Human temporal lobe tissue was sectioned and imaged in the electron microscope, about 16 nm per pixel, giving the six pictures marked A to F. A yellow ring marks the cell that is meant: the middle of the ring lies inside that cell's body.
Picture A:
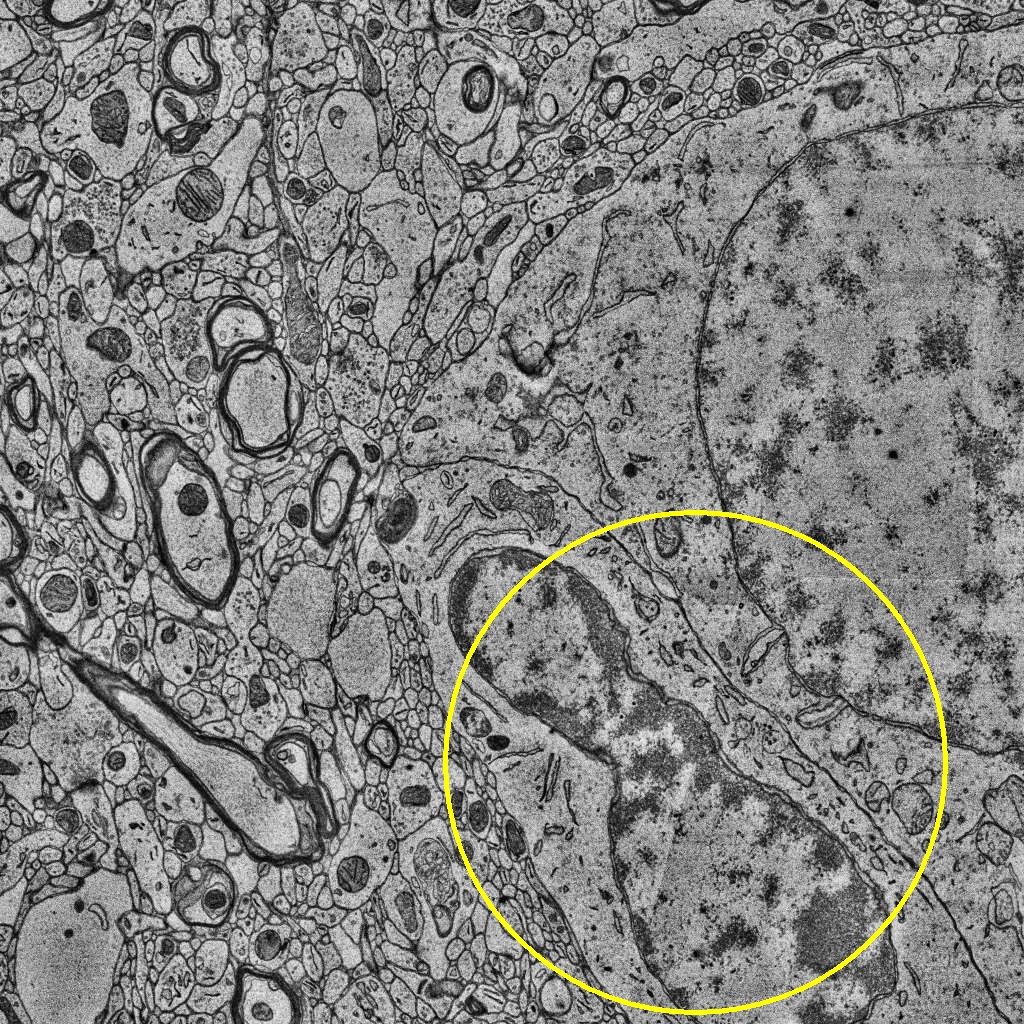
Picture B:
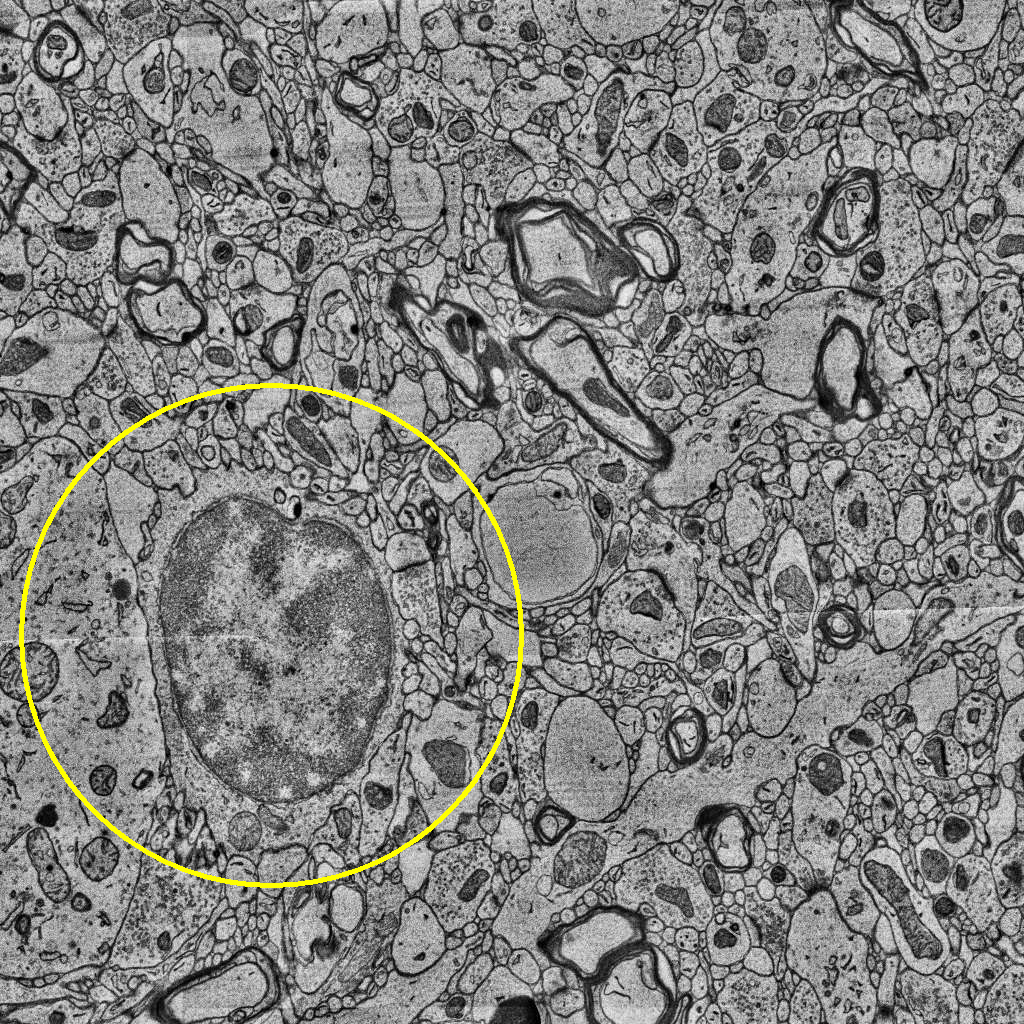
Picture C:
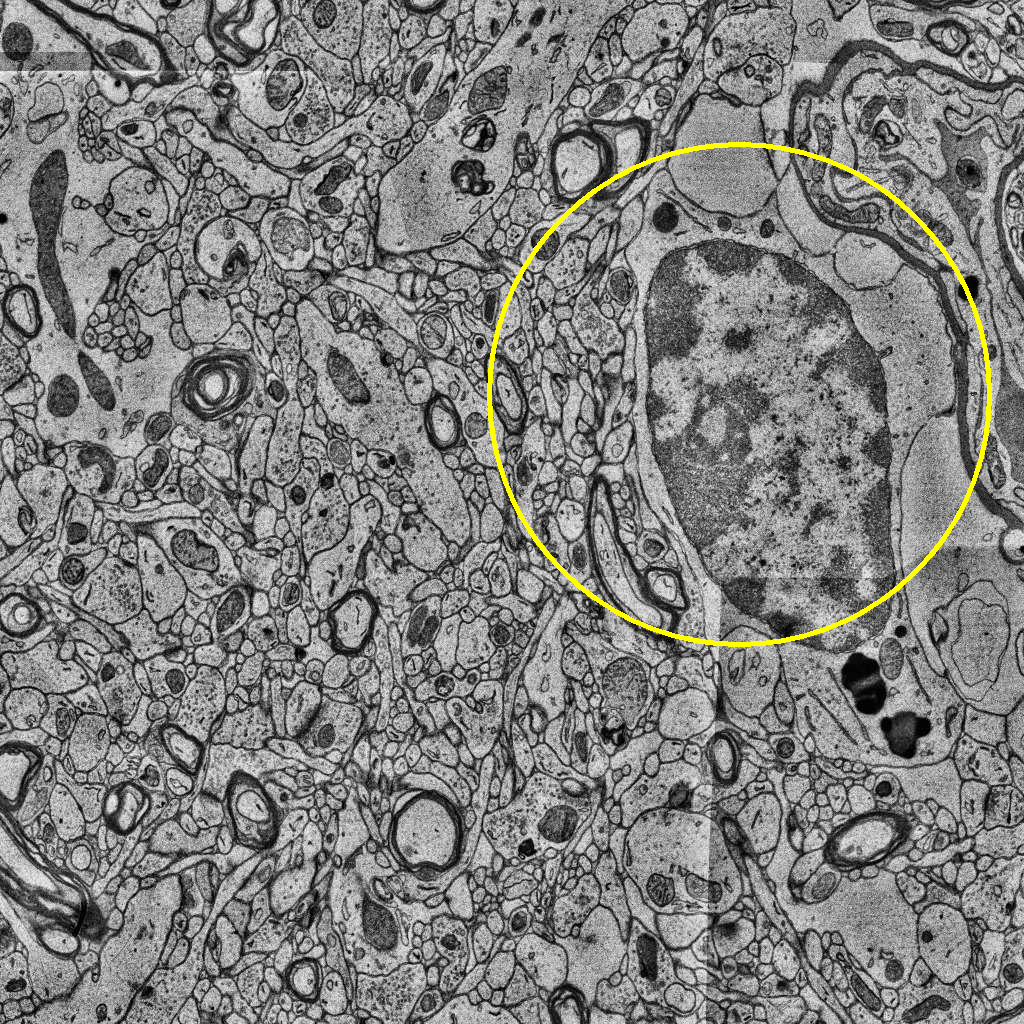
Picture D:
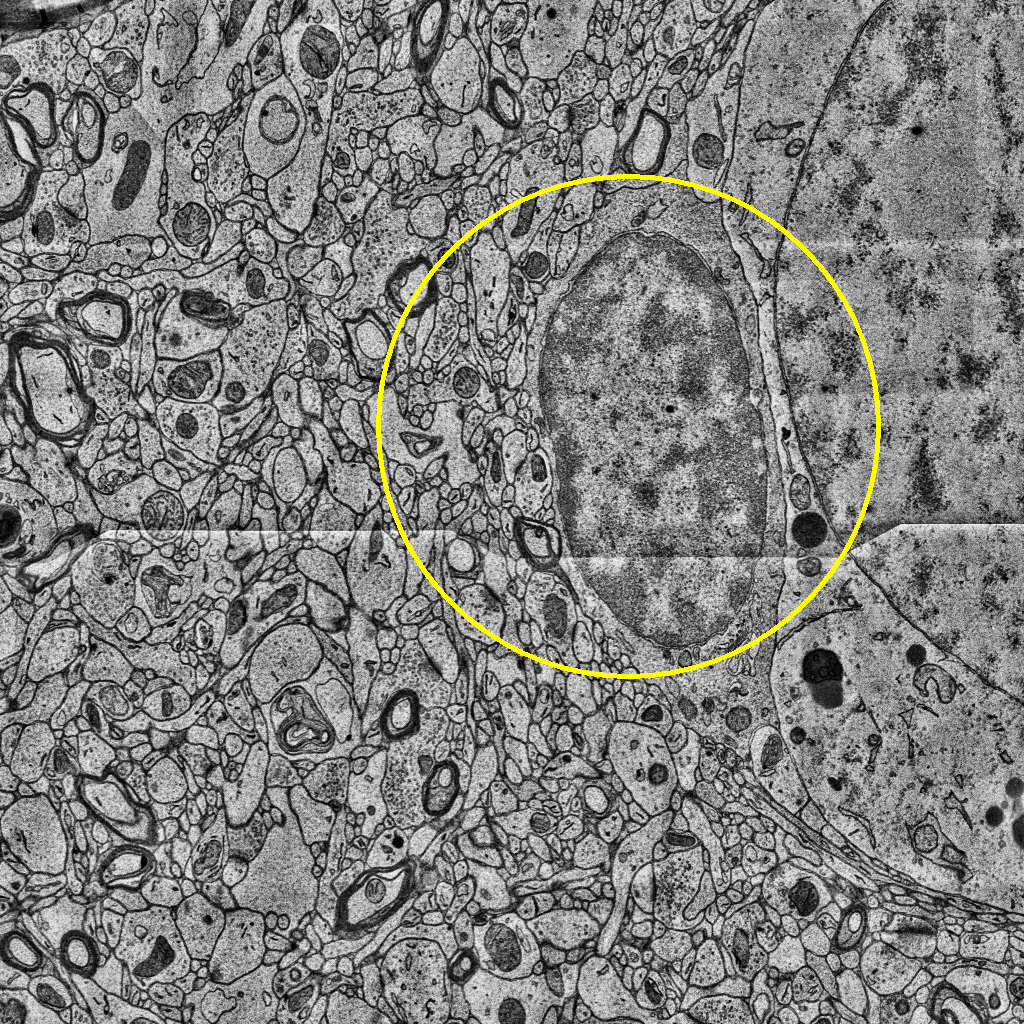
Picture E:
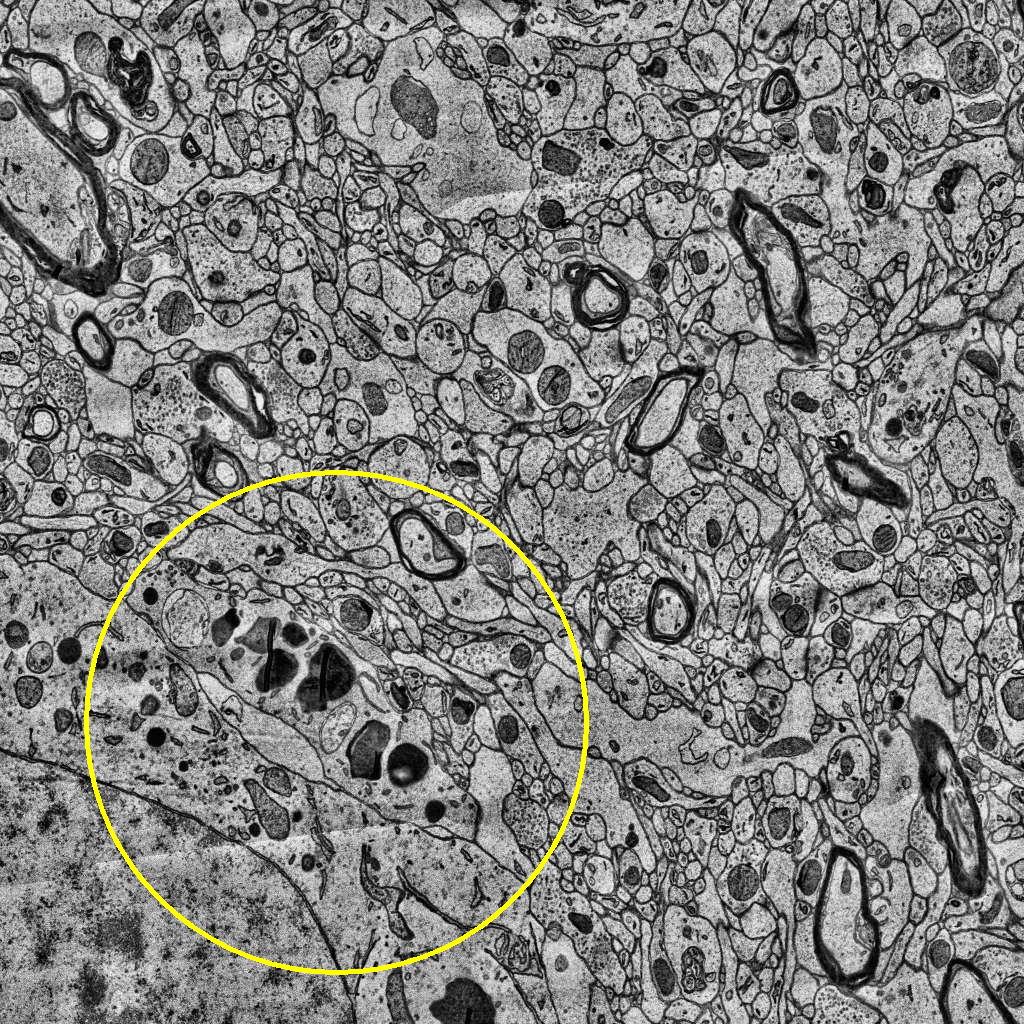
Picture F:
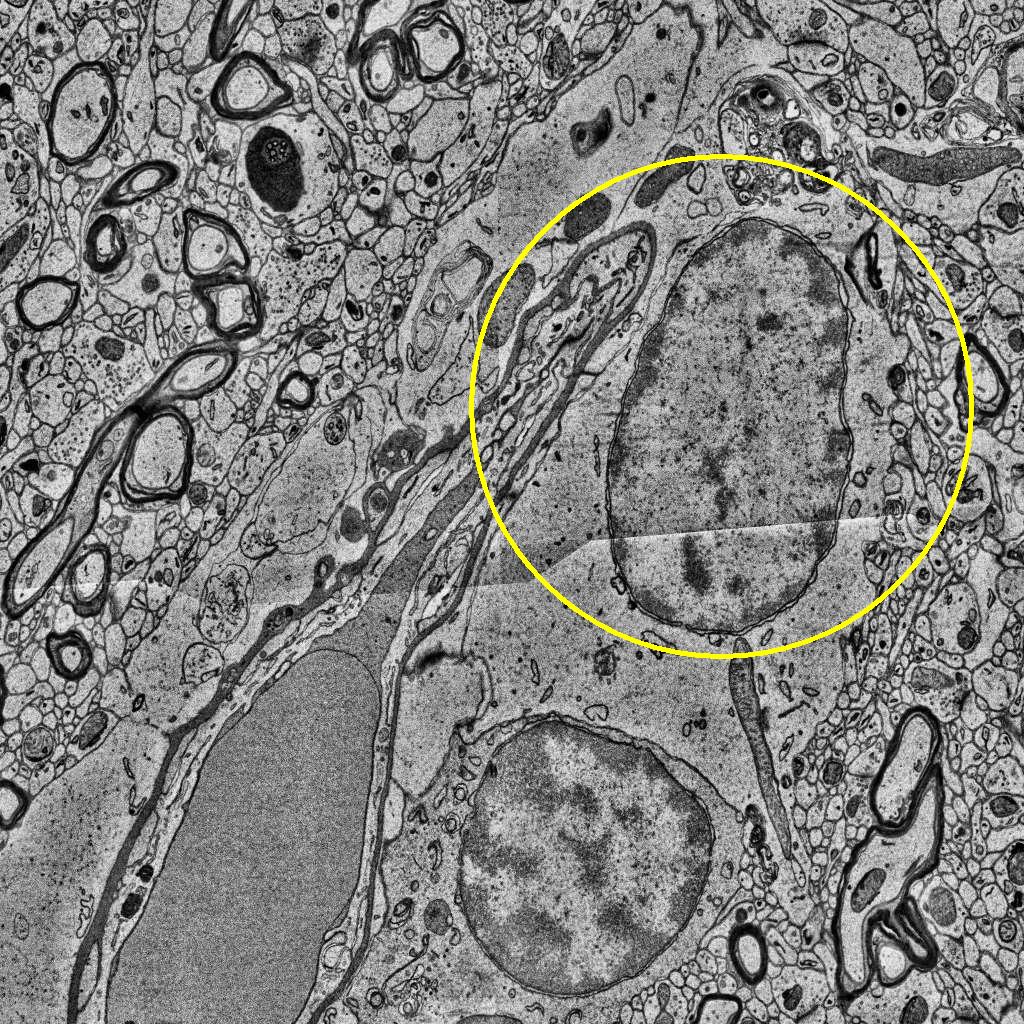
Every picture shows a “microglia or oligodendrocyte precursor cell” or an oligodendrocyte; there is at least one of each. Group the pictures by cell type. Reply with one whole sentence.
Pictures A, C, E and F show “microglia or oligodendrocyte precursor cells”; pictures B and D show oligodendrocytes.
